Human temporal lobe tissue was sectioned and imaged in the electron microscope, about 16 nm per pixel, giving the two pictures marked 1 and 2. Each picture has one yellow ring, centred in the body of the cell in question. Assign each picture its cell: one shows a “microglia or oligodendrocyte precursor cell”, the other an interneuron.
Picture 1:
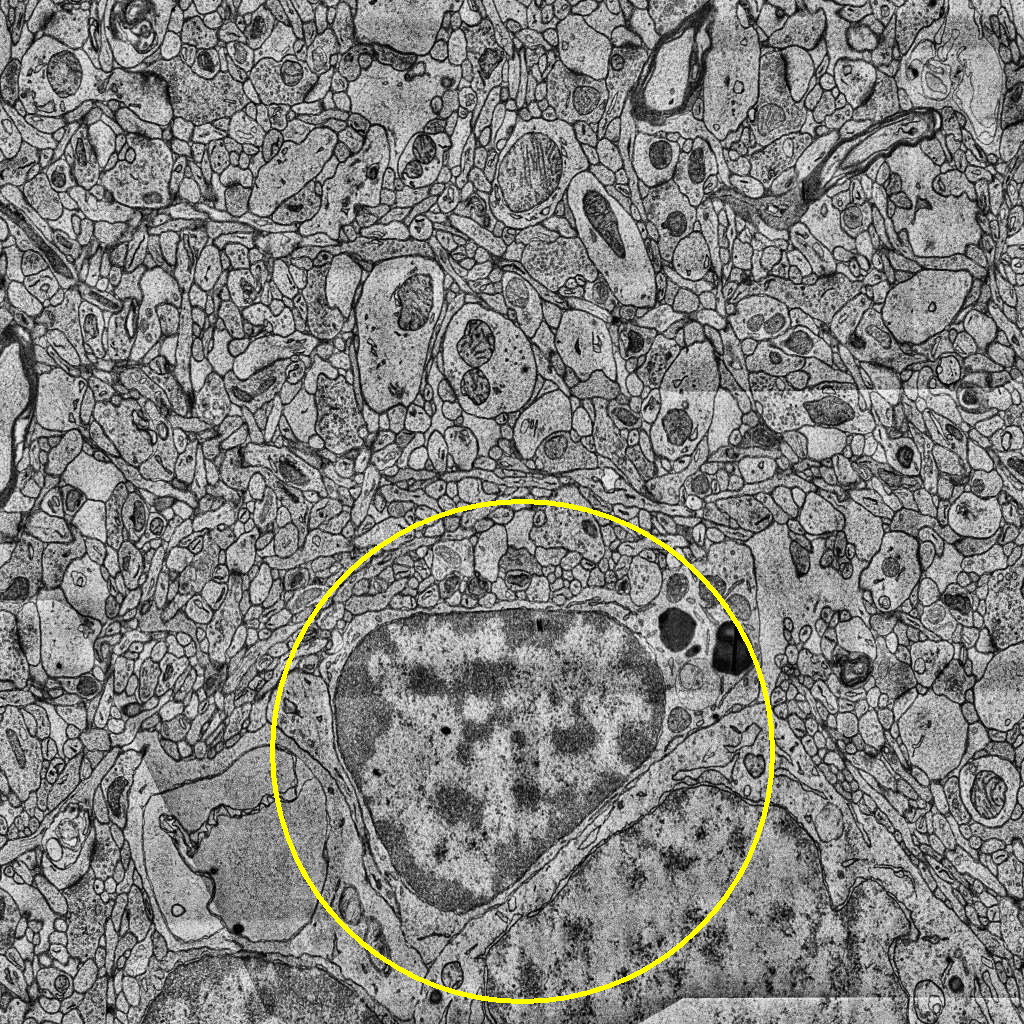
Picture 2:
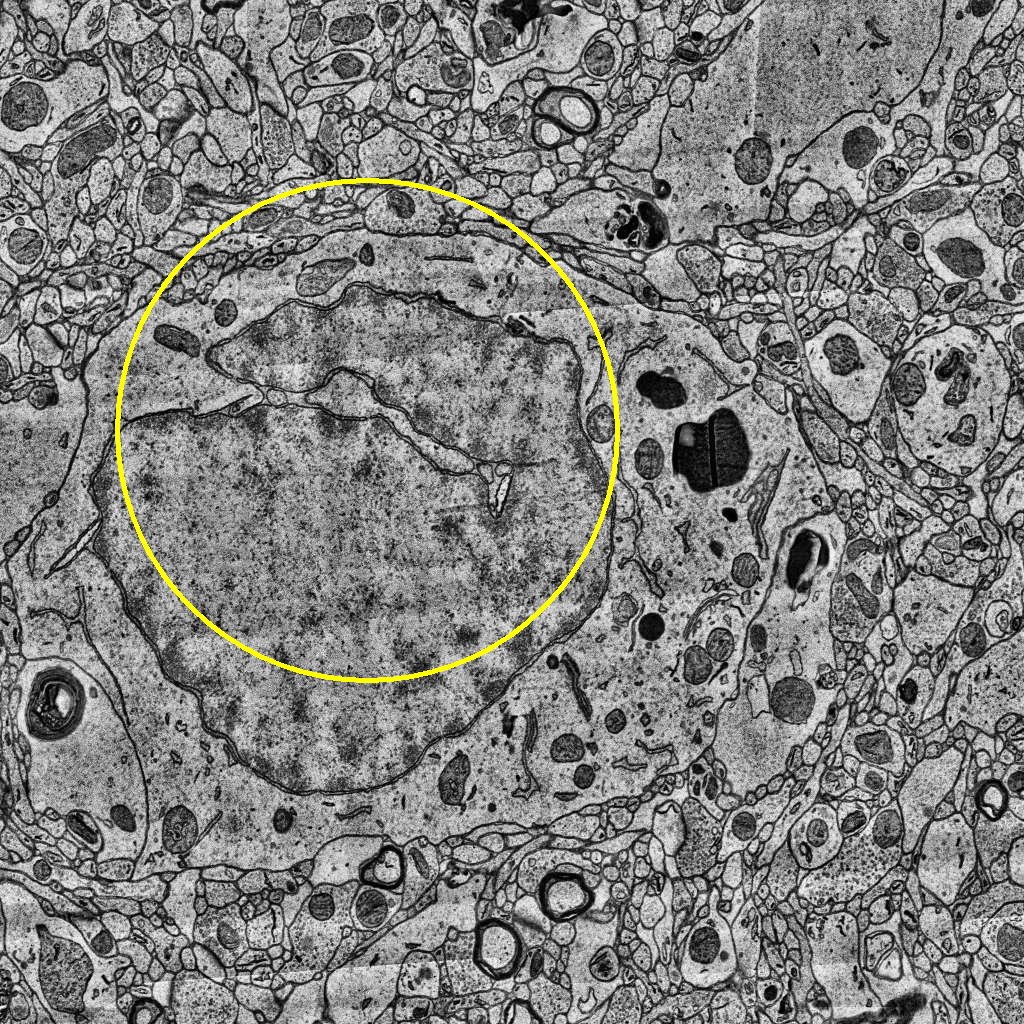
Picture 1 shows a “microglia or oligodendrocyte precursor cell” and picture 2 shows an interneuron.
